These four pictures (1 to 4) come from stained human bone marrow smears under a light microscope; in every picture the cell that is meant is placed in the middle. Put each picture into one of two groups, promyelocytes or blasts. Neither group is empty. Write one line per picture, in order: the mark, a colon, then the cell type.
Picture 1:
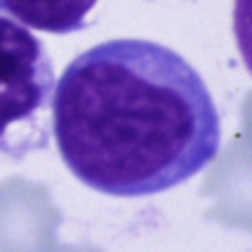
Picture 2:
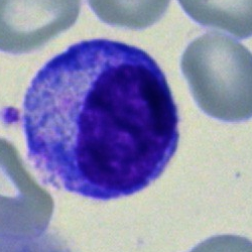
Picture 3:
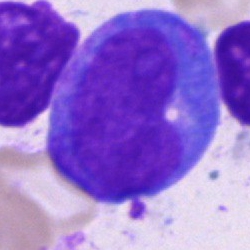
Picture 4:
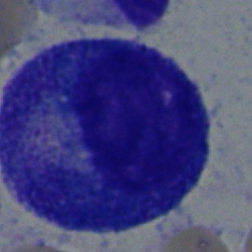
1: blast
2: promyelocyte
3: promyelocyte
4: promyelocyte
